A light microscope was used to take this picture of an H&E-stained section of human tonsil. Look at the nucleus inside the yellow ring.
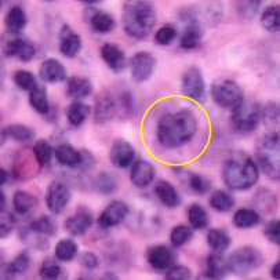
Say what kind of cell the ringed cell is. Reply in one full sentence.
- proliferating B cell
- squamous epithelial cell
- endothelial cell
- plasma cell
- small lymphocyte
In this tissue section, the ringed cell is to be classed as a proliferating B cell.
